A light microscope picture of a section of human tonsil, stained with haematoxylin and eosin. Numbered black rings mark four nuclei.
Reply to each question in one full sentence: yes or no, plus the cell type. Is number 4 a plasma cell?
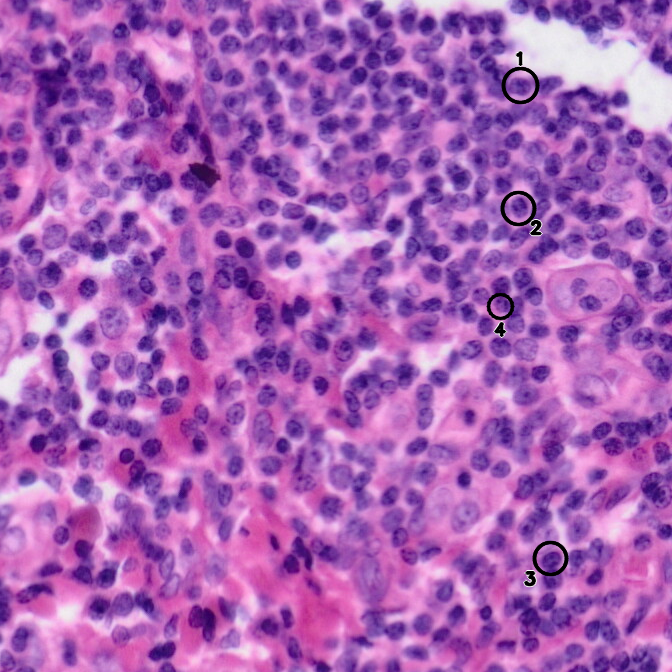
No, number 4 does not mark a plasma cell; it marks a small lymphocyte.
